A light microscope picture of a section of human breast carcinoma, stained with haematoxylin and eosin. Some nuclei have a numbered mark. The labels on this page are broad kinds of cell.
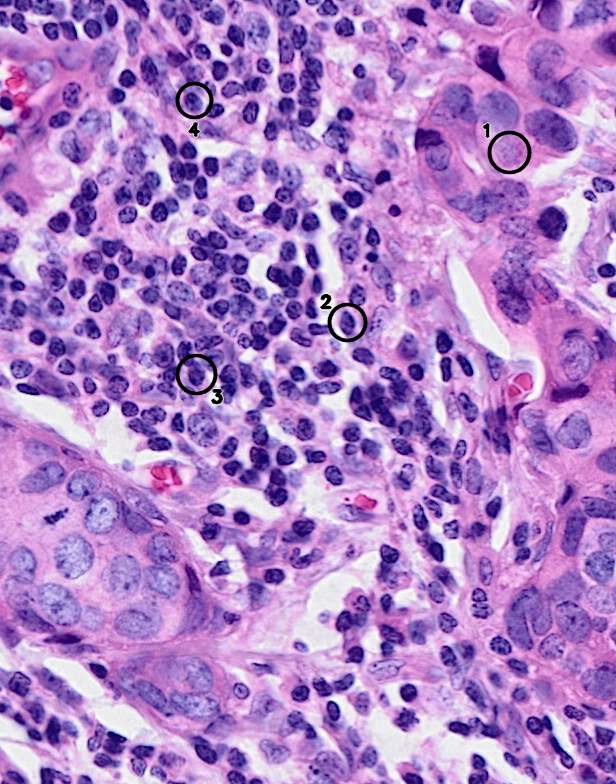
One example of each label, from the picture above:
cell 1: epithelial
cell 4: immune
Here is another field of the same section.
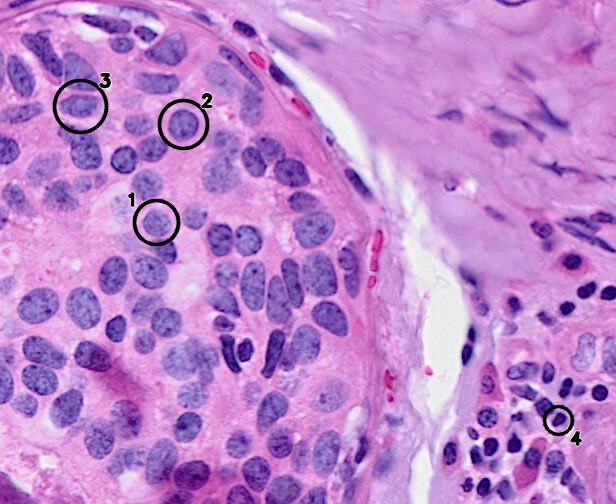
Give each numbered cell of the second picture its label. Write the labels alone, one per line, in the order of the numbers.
epithelial
epithelial
epithelial
immune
